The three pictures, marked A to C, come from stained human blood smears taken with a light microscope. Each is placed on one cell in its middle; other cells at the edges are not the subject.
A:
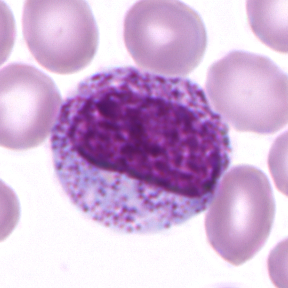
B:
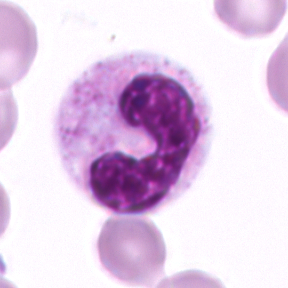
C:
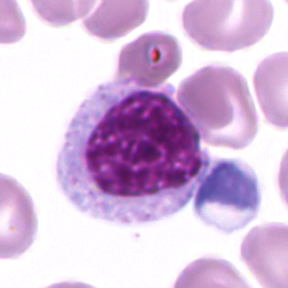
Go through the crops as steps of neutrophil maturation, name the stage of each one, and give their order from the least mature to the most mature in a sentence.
From the earliest stage to the most mature one, the order is crop A (a myelocyte), crop C (a metamyelocyte) and crop B (a band neutrophil).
